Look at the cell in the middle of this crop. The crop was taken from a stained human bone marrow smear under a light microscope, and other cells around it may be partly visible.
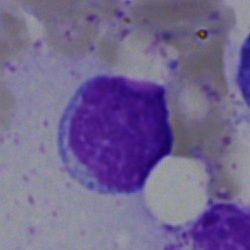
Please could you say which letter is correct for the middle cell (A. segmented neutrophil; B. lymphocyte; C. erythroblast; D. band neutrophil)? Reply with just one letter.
B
